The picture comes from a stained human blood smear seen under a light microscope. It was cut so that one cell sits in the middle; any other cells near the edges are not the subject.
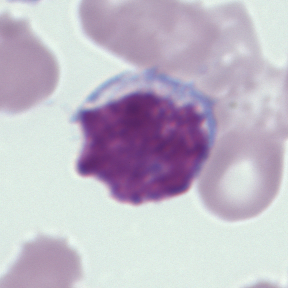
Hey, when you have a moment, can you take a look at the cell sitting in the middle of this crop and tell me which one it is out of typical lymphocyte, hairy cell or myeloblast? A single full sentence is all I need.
Located at the centre of the crop is a typical lymphocyte.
